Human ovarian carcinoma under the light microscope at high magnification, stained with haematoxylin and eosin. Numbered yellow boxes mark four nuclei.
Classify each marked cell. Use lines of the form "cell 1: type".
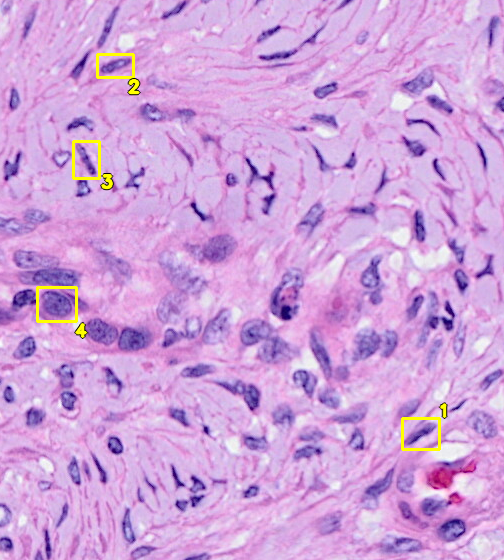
cell 1: fibroblast
cell 2: fibroblast
cell 3: fibroblast
cell 4: carcinoma cell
